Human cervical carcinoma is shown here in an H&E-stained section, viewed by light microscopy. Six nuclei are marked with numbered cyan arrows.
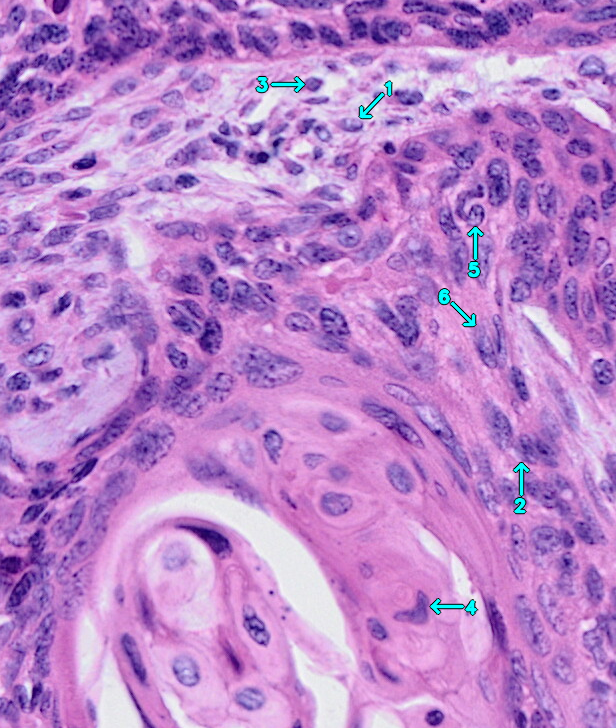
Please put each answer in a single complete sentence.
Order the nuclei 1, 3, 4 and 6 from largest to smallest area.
Largest first, the order by area is 6, 4, 1, 3.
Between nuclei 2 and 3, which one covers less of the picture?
Number 3 is smaller, since number 2 takes up about 1.5 times as much area.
